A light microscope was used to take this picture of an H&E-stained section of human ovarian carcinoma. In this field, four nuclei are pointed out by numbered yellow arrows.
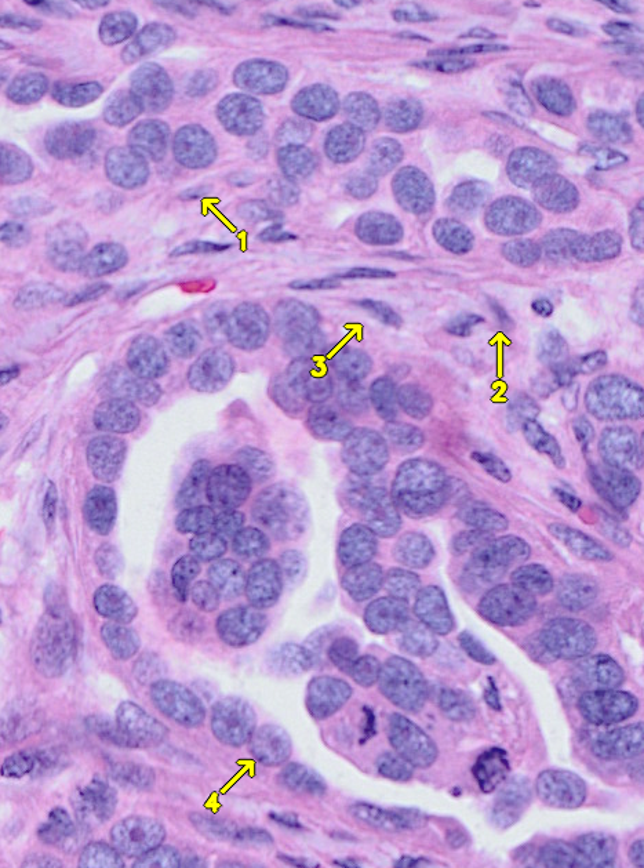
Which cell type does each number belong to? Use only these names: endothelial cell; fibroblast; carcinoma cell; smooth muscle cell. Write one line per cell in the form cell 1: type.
cell 1: fibroblast
cell 2: fibroblast
cell 3: fibroblast
cell 4: carcinoma cell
